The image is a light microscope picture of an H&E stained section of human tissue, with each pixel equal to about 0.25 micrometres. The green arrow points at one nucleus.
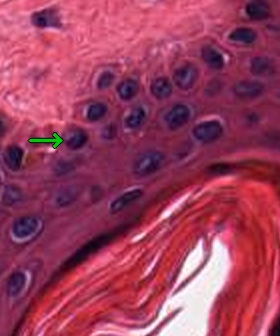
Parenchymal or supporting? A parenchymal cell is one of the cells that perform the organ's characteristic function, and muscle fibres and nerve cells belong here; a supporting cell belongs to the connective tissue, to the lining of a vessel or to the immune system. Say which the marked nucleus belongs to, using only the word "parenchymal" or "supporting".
parenchymal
